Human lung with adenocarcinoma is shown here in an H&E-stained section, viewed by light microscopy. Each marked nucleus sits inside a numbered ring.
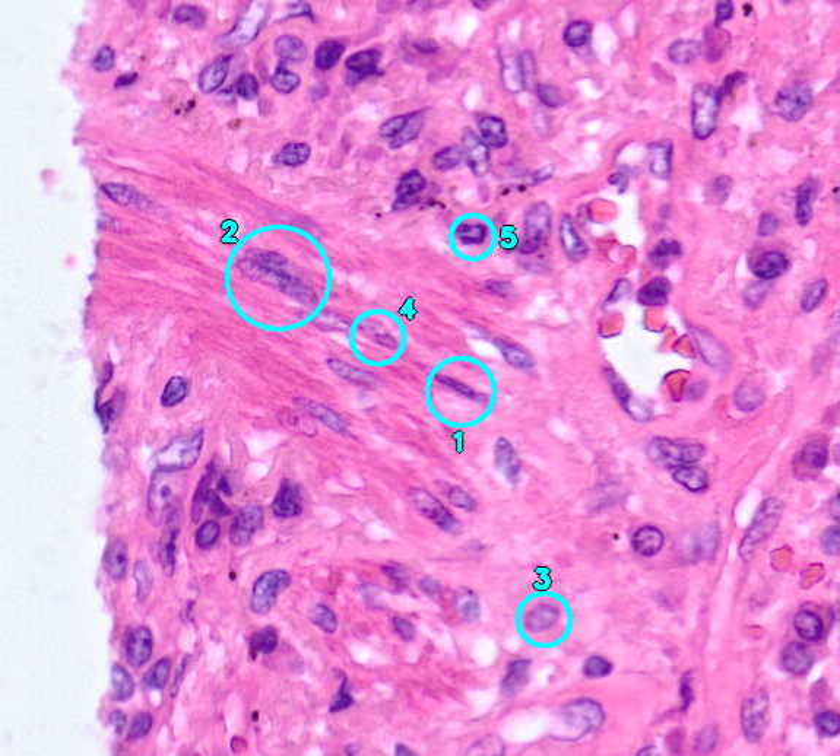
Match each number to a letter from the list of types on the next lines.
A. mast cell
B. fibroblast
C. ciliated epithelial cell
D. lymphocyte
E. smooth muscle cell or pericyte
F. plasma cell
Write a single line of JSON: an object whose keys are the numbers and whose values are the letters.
{"1": "E", "2": "E", "3": "A", "4": "E", "5": "F"}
